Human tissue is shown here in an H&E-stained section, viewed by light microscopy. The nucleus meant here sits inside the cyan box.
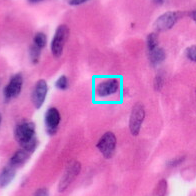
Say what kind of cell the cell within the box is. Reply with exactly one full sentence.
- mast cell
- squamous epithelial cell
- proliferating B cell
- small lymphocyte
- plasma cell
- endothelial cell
In cellular terms, the cell within the box is a mast cell.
